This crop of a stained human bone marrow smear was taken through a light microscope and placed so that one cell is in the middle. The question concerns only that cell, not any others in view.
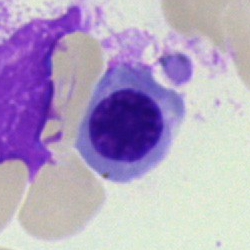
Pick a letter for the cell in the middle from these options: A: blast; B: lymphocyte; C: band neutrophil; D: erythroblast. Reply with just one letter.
D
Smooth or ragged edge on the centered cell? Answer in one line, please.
Its outline is smooth, with no projections anywhere along the edge.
